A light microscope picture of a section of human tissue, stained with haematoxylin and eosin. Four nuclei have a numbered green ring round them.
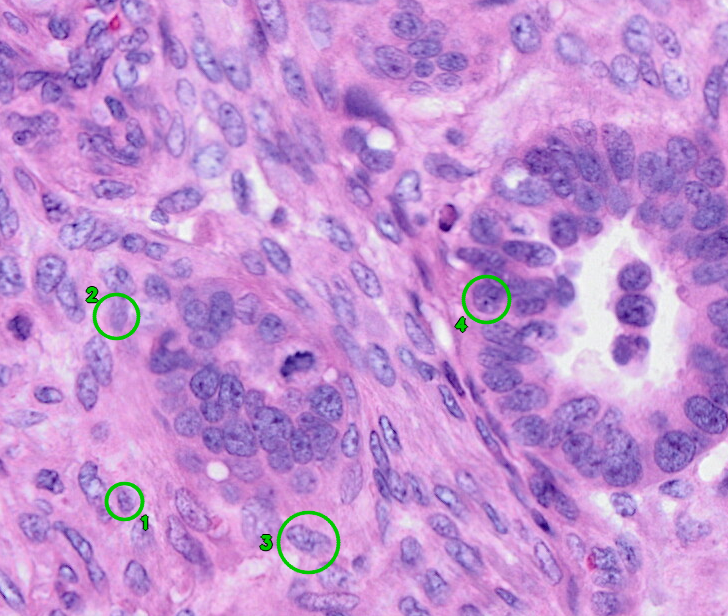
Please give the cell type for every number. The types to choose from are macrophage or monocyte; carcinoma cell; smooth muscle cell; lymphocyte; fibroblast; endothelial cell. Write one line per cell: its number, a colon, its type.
1: fibroblast
2: fibroblast
3: fibroblast
4: carcinoma cell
